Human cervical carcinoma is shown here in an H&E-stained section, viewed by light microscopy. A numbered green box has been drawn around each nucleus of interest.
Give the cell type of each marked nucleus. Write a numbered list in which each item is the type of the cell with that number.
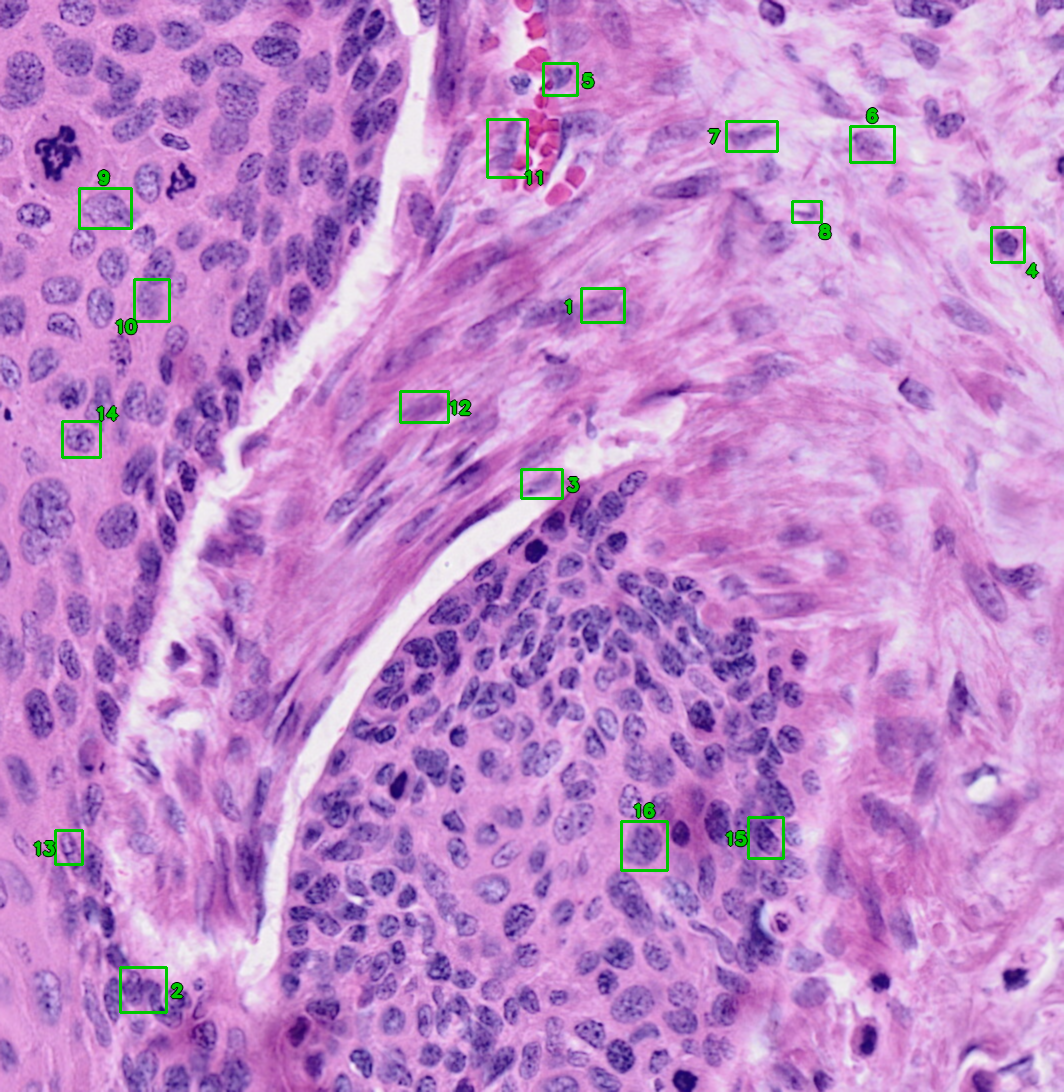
1. fibroblast
2. squamous carcinoma cell
3. fibroblast
4. lymphocyte
5. endothelial cell
6. fibroblast
7. fibroblast
8. fibroblast
9. squamous carcinoma cell
10. squamous carcinoma cell
11. endothelial cell
12. fibroblast
13. squamous carcinoma cell
14. squamous carcinoma cell
15. squamous carcinoma cell
16. squamous carcinoma cell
